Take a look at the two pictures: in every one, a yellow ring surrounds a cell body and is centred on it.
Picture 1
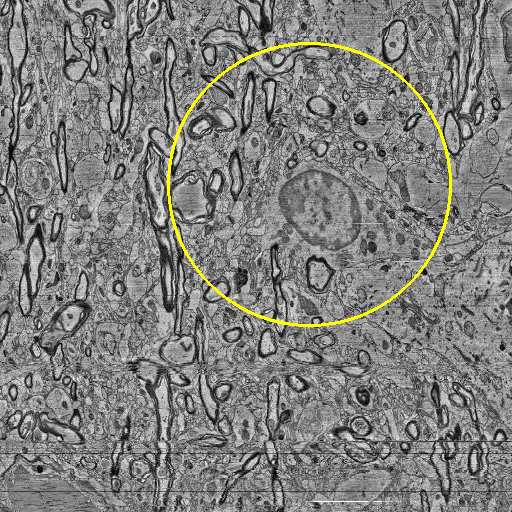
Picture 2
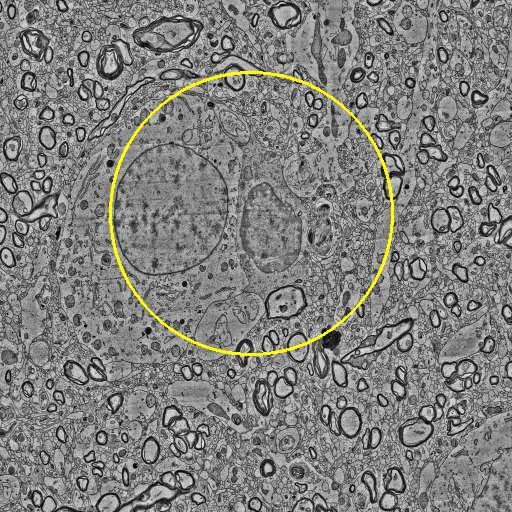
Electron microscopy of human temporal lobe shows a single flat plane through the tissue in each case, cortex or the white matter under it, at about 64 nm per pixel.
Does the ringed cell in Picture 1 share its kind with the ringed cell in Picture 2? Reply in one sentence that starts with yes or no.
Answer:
Yes, the two centred cells, one per picture, are of one kind.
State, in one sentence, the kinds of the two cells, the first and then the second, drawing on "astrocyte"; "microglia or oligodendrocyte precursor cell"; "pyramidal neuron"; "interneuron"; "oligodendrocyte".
The second cell is an oligodendrocyte, just as the first is.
